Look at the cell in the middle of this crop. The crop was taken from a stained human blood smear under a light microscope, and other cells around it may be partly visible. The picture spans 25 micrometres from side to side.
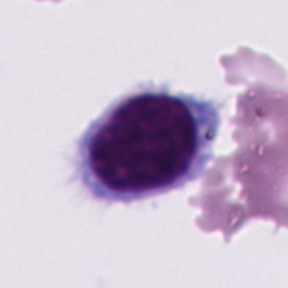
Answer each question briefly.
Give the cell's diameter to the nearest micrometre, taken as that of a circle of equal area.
11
